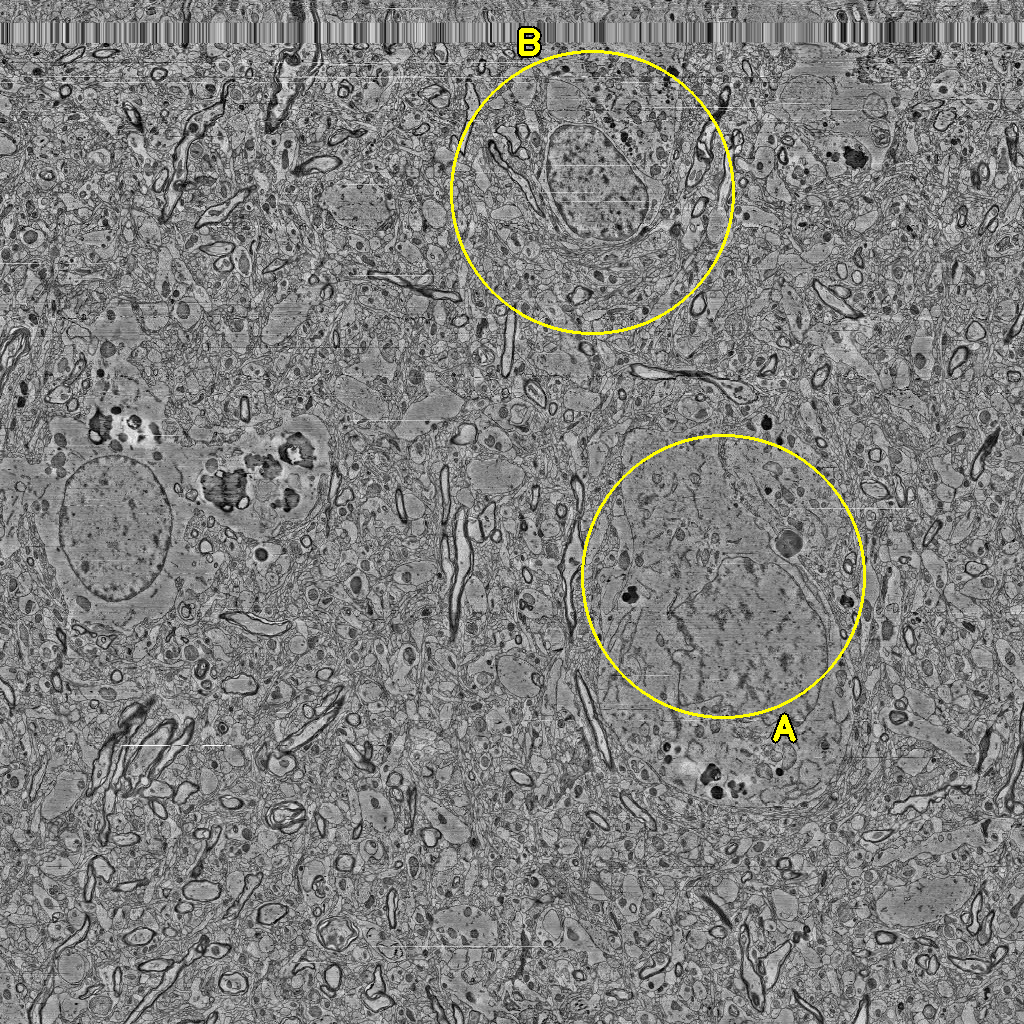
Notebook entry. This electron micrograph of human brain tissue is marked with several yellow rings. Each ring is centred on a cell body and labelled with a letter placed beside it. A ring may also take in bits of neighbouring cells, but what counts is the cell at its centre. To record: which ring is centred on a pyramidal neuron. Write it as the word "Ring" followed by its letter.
Ring A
